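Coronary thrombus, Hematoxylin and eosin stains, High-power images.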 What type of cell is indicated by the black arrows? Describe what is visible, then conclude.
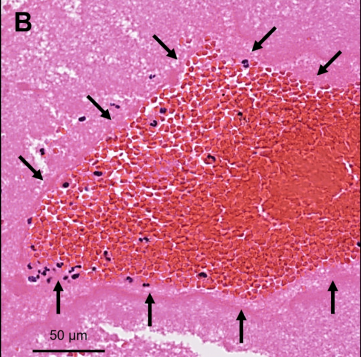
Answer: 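Erythrocytes. A dense mass of small round red-orange anucleate bodies. The mass is bordered by pale pink fibrillar material.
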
